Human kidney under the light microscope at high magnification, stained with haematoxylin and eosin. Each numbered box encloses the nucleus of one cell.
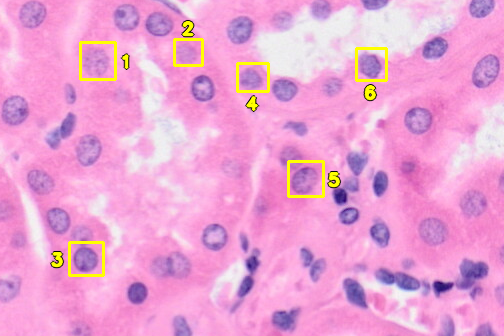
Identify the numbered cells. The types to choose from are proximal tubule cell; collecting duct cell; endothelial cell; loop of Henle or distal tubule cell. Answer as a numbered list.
1. proximal tubule cell
2. proximal tubule cell
3. proximal tubule cell
4. loop of Henle or distal tubule cell
5. proximal tubule cell
6. loop of Henle or distal tubule cell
